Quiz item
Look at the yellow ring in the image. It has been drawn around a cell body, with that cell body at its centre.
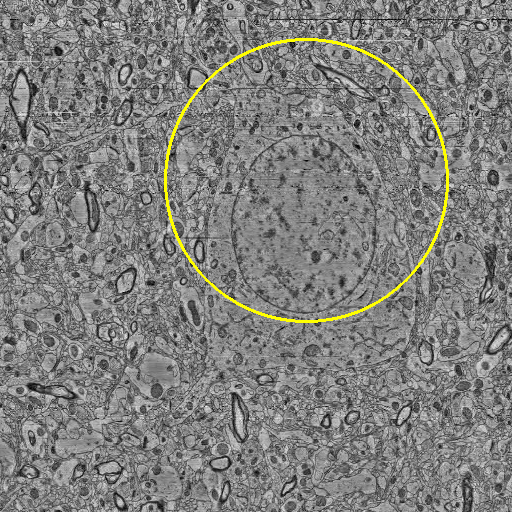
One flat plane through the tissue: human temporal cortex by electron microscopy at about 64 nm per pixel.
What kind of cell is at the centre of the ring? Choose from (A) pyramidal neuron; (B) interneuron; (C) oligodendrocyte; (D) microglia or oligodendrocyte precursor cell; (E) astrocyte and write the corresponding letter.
A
